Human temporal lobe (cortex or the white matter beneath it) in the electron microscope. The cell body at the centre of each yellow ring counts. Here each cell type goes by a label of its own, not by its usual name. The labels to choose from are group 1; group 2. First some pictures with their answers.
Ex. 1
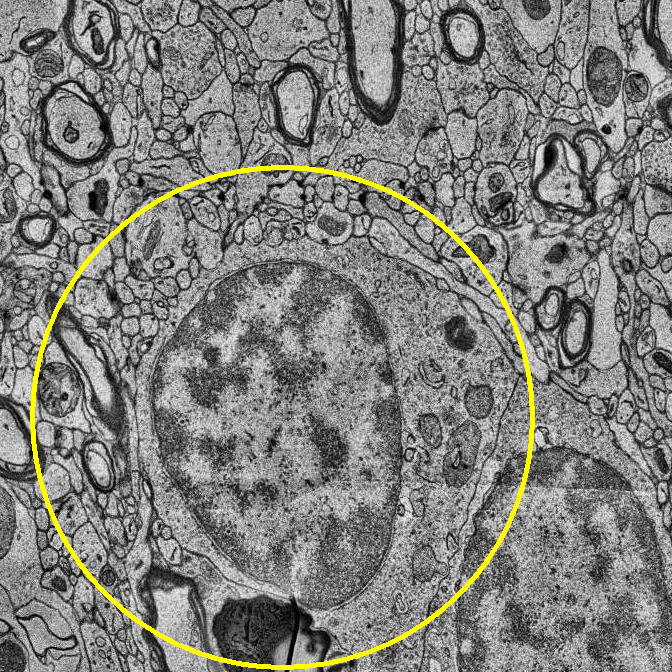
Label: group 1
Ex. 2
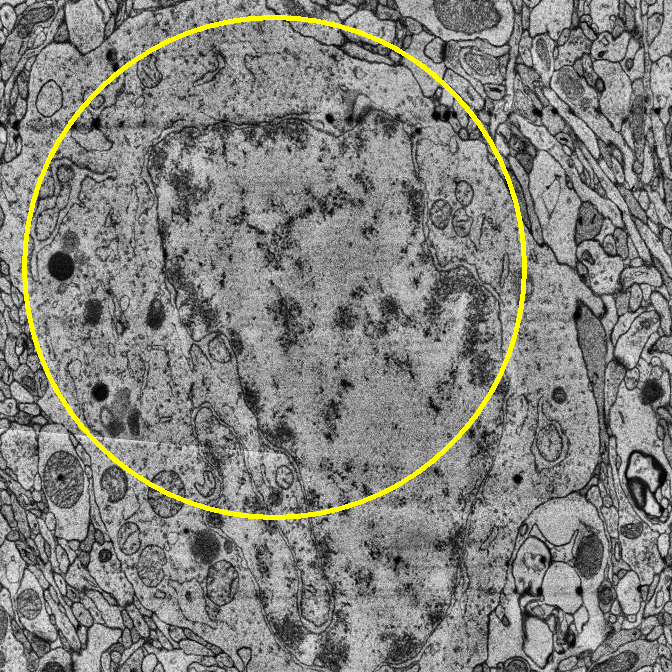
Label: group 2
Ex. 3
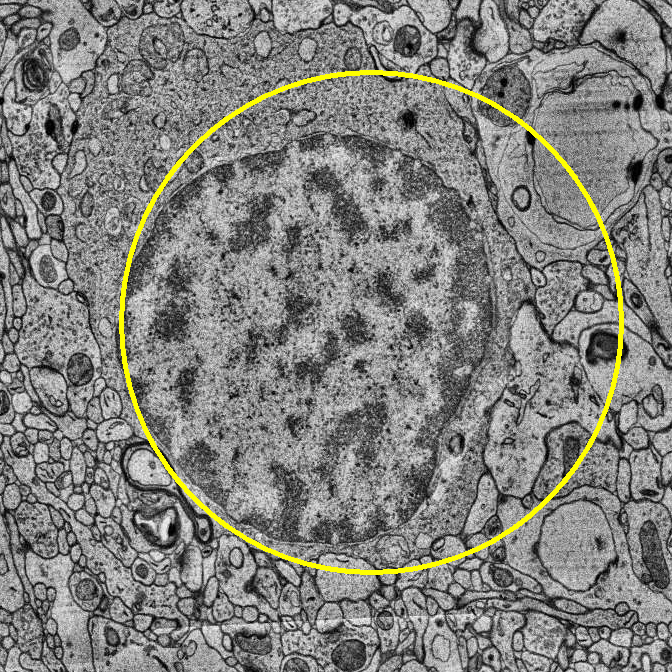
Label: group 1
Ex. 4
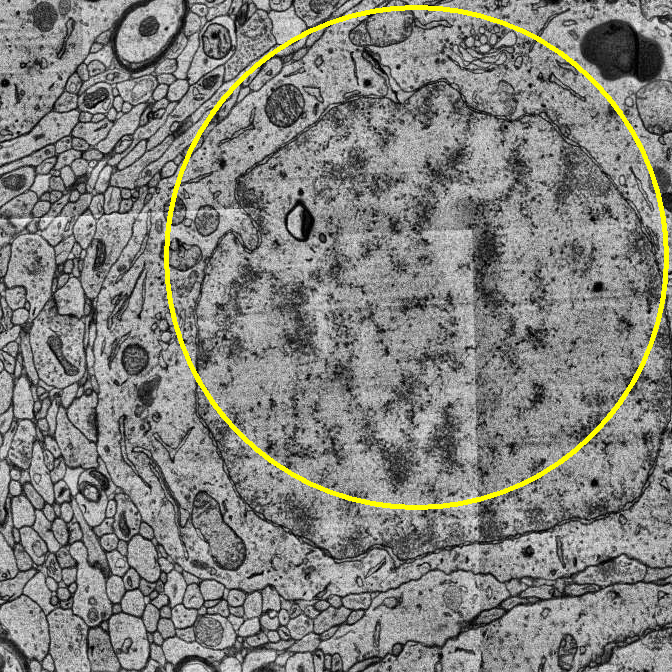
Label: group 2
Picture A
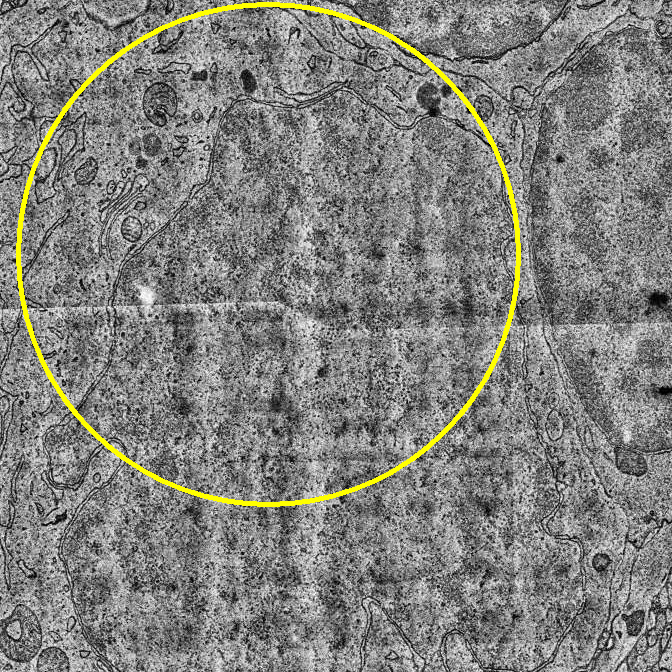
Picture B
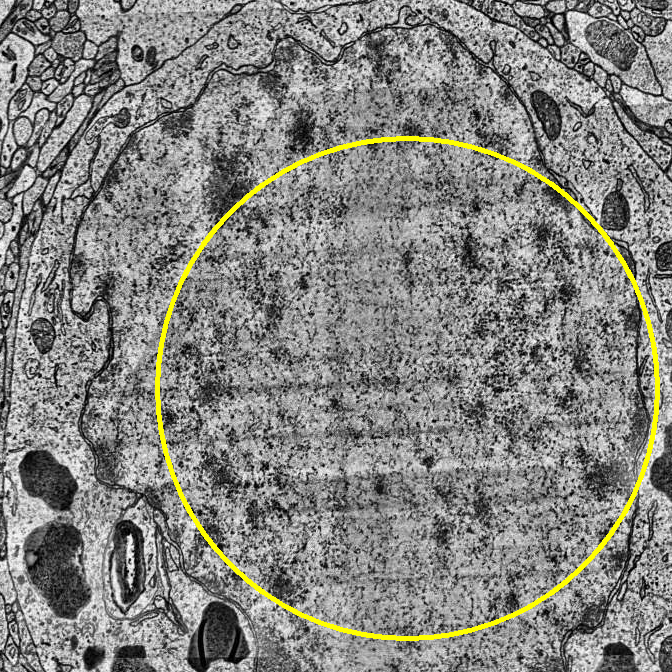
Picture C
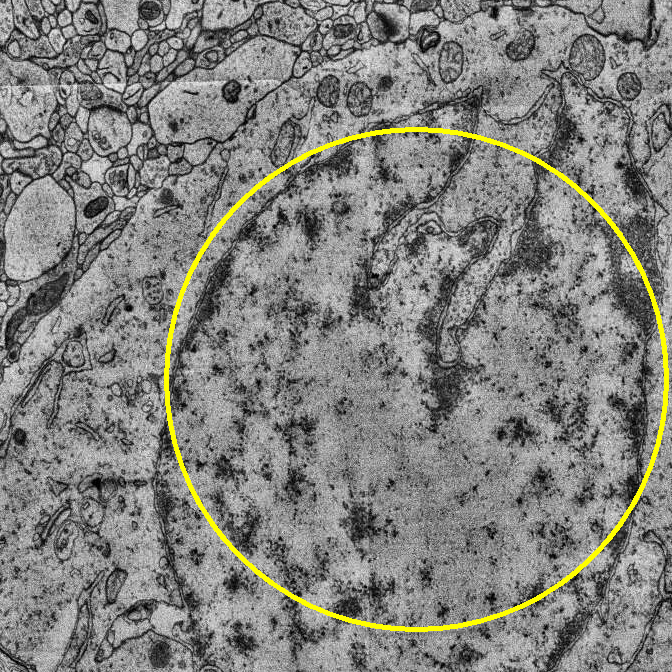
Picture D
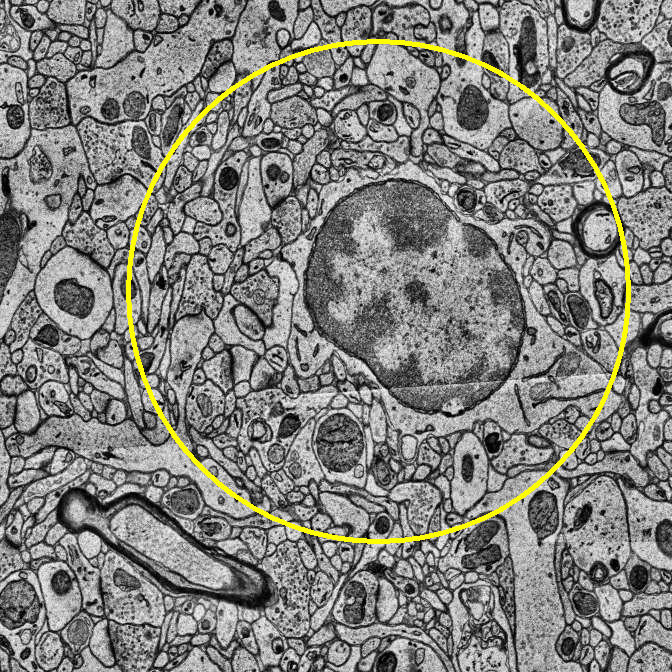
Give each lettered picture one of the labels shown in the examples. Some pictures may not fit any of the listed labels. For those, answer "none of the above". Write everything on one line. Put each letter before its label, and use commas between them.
A group 2, B group 2, C group 2, D none of the above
